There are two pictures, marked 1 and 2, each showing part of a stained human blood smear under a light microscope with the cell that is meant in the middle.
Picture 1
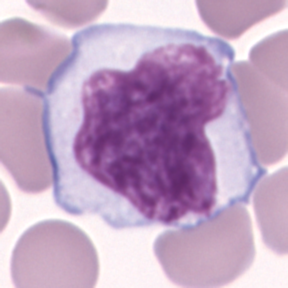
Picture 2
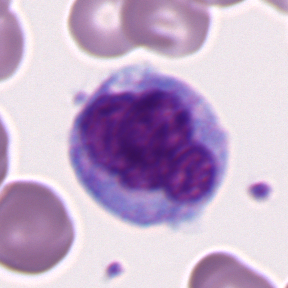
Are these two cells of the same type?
no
